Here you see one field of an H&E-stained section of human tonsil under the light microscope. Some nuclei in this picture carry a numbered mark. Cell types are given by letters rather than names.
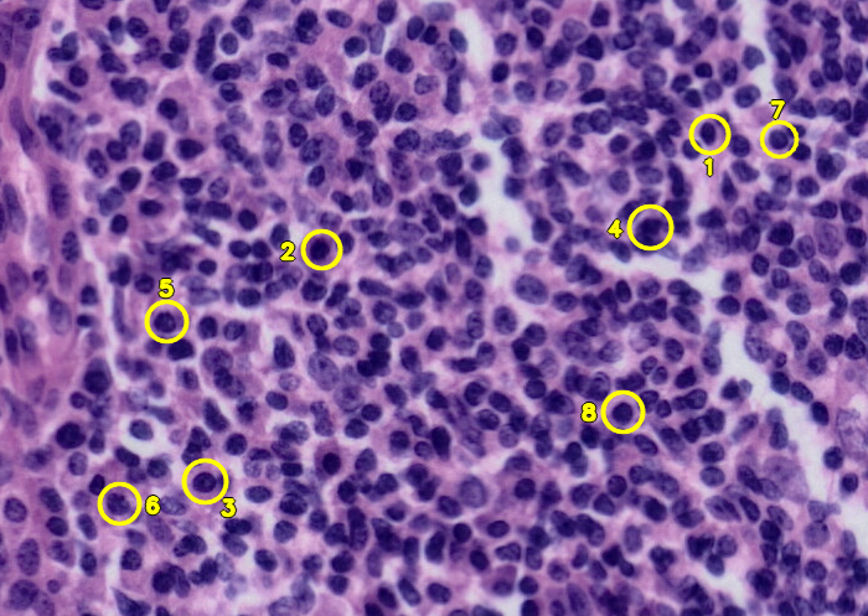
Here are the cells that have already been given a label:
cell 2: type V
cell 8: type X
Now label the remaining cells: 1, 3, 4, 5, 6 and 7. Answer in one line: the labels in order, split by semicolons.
type X; type V; type X; type V; type V; type X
